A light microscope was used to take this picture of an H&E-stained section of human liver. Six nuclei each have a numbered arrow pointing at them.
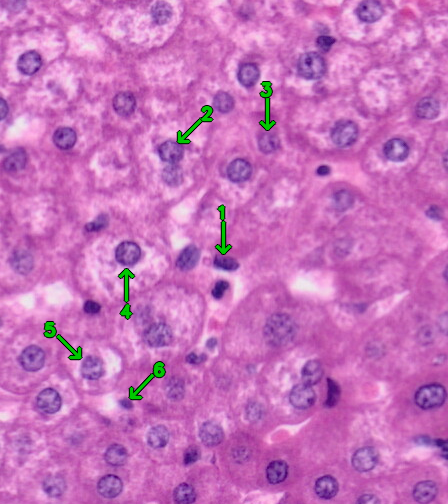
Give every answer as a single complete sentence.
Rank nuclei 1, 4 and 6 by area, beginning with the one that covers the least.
Smallest first, the nuclei run 6, 1, 4.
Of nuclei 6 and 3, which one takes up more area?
The larger nucleus is 3, at roughly 2.5 times the area of 6.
